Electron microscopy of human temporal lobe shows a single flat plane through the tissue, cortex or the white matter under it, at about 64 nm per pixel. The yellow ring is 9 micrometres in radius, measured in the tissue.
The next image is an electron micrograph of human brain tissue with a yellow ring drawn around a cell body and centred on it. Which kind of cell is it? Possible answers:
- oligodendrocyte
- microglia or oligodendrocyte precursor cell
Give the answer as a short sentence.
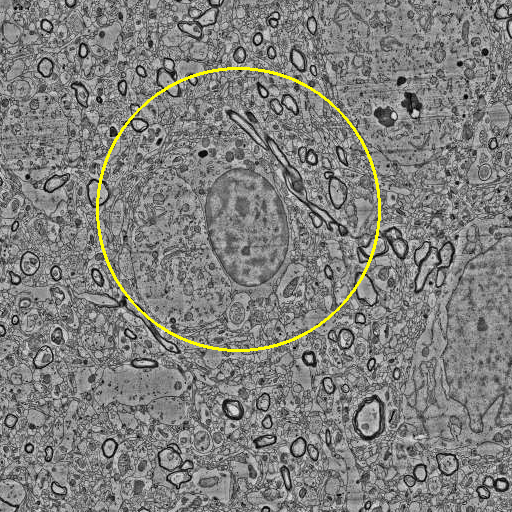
In the ring's centre is an oligodendrocyte.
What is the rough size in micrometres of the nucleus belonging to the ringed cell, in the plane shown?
At approximately 8 by 5 micrometres, the nucleus is clearly longer than it is wide in this plane.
